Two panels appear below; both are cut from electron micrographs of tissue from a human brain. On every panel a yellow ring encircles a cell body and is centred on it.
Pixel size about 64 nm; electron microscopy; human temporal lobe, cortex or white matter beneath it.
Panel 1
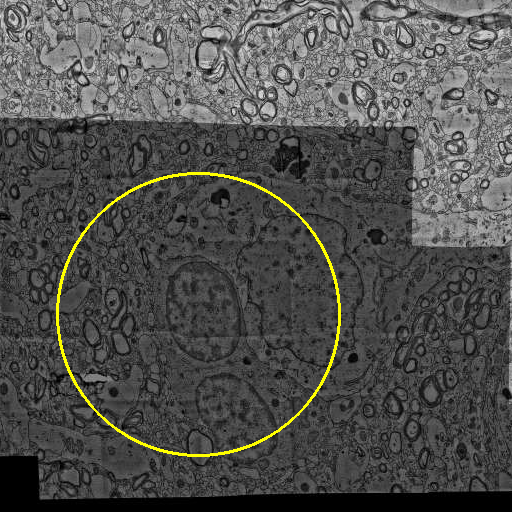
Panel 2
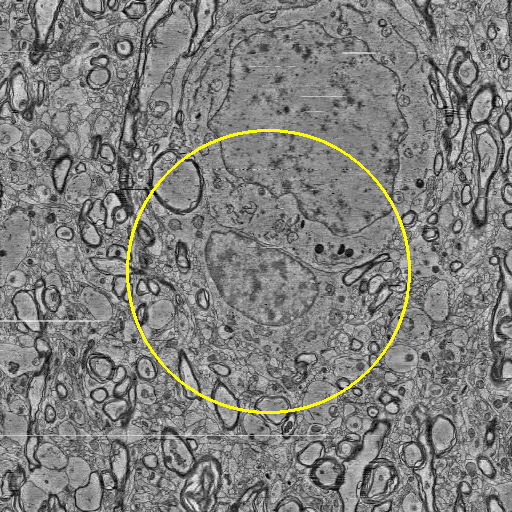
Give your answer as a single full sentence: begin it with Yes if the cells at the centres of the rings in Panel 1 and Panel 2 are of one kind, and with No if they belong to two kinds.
Yes, the cells in the middle of the rings in Panels 1 and 2 are of one kind.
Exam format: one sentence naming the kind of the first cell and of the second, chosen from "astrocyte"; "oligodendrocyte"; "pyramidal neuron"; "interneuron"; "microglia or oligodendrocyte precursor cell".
Each cell at the centre of a ring is an oligodendrocyte.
